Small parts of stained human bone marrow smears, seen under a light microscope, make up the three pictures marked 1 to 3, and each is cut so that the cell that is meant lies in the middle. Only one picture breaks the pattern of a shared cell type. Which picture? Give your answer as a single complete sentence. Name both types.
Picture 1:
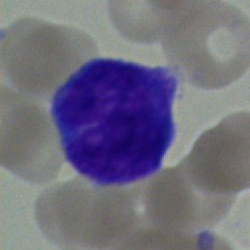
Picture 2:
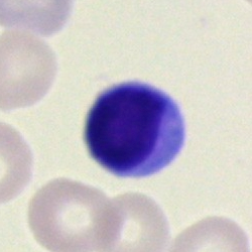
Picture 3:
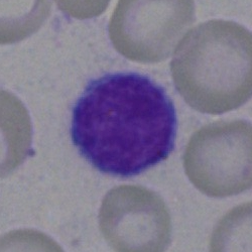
All pictures except 1 show lymphocytes; picture 1 shows a blast.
